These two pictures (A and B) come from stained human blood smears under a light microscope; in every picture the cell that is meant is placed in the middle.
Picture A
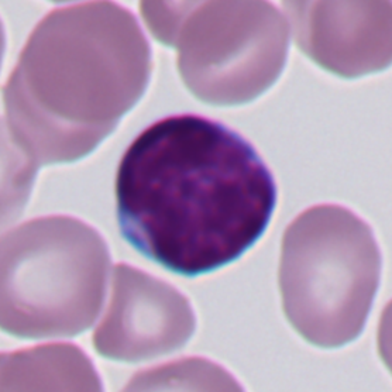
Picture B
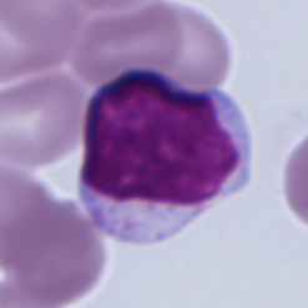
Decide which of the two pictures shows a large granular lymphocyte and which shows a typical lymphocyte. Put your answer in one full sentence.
Picture A is of a typical lymphocyte, and picture B is of a large granular lymphocyte.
